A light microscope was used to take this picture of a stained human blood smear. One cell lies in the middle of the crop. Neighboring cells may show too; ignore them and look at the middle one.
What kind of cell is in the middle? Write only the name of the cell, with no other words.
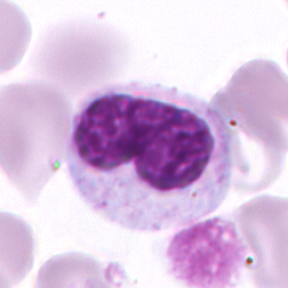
band neutrophil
